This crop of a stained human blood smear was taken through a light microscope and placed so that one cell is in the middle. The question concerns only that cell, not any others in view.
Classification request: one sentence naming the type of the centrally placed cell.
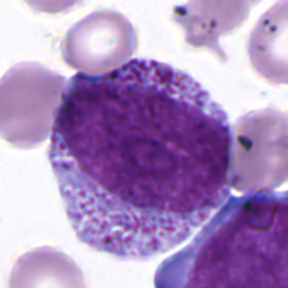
In the center of this field lies a promyelocyte.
